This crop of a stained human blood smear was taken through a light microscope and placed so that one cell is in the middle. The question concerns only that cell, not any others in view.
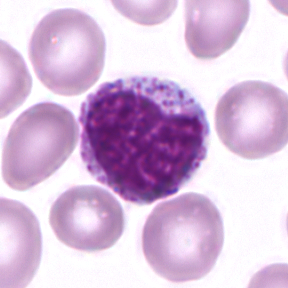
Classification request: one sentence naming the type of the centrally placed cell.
On this slide crop, the central cell is a metamyelocyte.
